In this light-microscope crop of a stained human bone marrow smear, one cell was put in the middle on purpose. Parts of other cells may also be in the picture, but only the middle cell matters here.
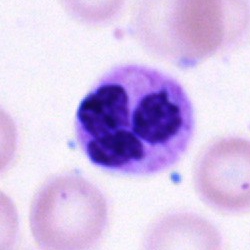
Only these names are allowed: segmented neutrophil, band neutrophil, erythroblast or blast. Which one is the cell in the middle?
segmented neutrophil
